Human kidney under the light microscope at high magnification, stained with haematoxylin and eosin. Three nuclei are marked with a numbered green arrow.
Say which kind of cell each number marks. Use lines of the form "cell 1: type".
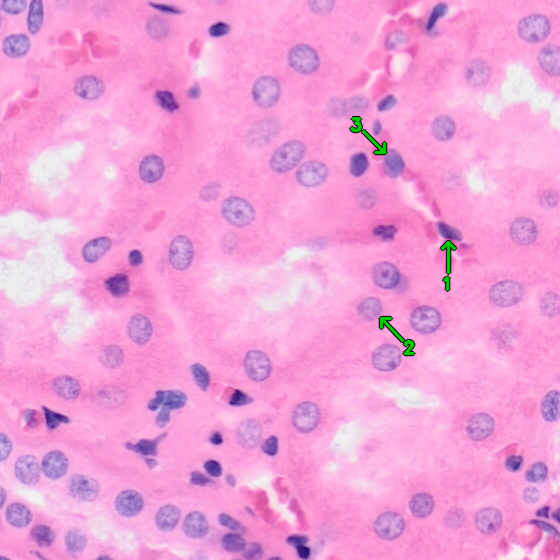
cell 1: endothelial cell
cell 2: proximal tubule cell
cell 3: endothelial cell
